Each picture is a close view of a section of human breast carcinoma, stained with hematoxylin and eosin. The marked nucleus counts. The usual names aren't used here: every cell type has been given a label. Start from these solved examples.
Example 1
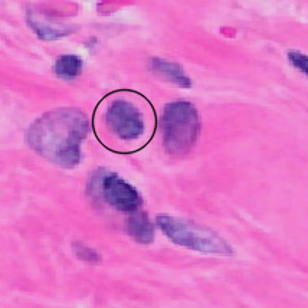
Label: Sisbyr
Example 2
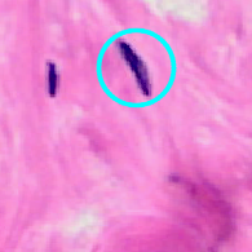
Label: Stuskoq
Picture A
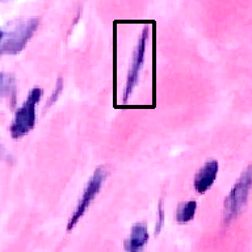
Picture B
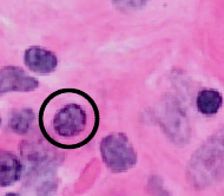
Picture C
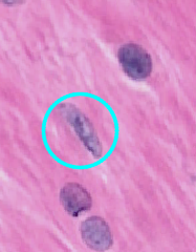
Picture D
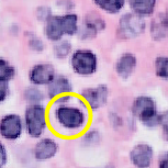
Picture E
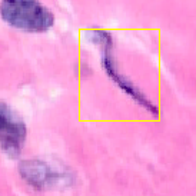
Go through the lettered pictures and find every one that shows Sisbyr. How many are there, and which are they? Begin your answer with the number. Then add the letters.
Count: 2 (B, D)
